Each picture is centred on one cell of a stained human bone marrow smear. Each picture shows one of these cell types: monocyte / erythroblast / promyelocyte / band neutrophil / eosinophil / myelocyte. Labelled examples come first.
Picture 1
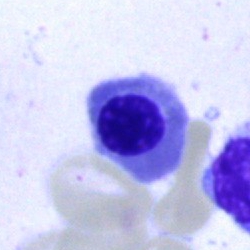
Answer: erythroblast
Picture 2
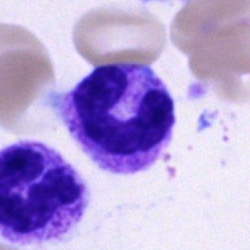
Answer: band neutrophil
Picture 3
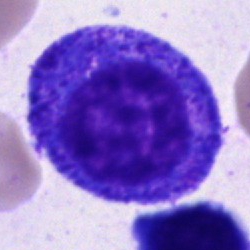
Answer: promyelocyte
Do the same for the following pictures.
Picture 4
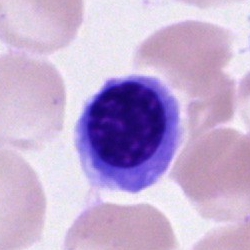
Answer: erythroblast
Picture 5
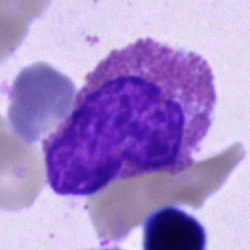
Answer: eosinophil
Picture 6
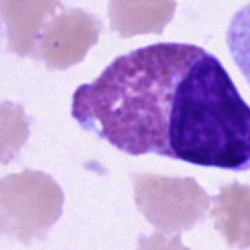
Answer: eosinophil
